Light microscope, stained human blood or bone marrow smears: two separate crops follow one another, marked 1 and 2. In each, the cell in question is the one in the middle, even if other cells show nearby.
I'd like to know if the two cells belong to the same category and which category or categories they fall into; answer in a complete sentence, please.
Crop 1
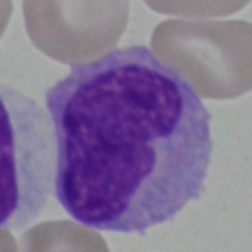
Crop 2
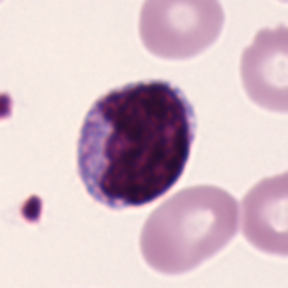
Yes, in the middle of both crops lie monocytes.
